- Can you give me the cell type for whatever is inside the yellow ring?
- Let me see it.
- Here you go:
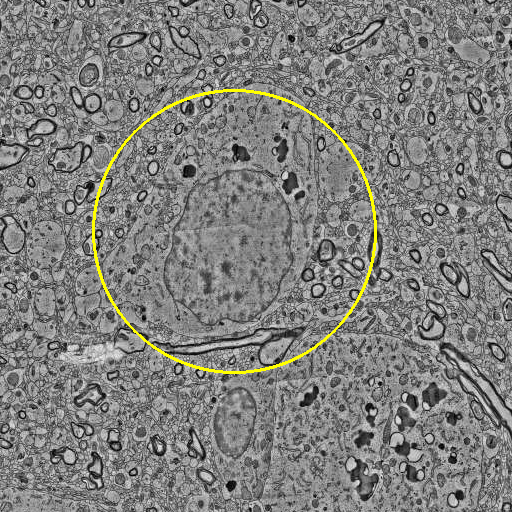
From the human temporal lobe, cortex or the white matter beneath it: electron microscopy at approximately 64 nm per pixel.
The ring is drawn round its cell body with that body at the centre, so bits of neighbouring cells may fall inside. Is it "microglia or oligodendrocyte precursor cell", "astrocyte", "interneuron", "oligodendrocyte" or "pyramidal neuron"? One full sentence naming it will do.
The cell body in the middle of the ring in this picture belongs to an interneuron.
